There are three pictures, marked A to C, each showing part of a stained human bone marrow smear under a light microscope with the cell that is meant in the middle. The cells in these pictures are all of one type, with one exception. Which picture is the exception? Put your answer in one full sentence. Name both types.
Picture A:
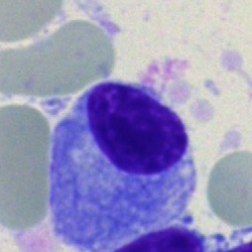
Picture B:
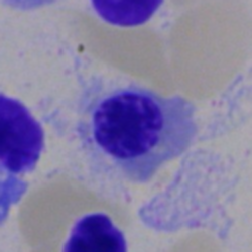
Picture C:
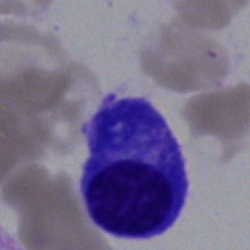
The others show plasma cells, but picture B shows an erythroblast.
